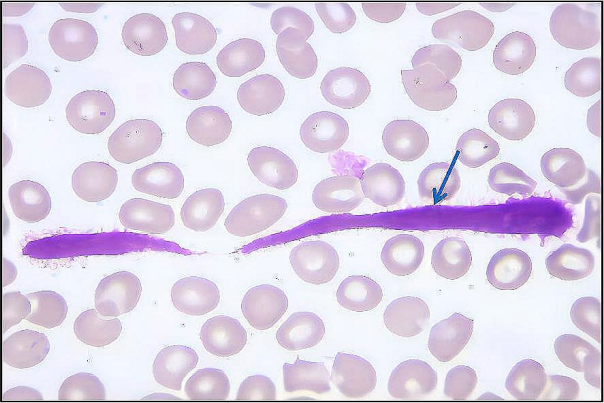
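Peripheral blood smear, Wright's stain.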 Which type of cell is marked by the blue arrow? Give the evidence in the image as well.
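Giant platelet. The blue arrow points at a long purple granular body with no nucleus. It is many times longer than the red cells around it.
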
